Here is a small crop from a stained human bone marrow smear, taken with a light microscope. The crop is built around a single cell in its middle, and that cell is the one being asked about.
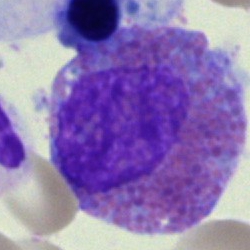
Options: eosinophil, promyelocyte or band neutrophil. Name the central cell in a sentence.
For this crop, the cell in the middle is an eosinophil.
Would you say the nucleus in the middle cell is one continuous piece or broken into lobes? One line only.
A single compact nucleus is present, shaped round, oval or like a kidney.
